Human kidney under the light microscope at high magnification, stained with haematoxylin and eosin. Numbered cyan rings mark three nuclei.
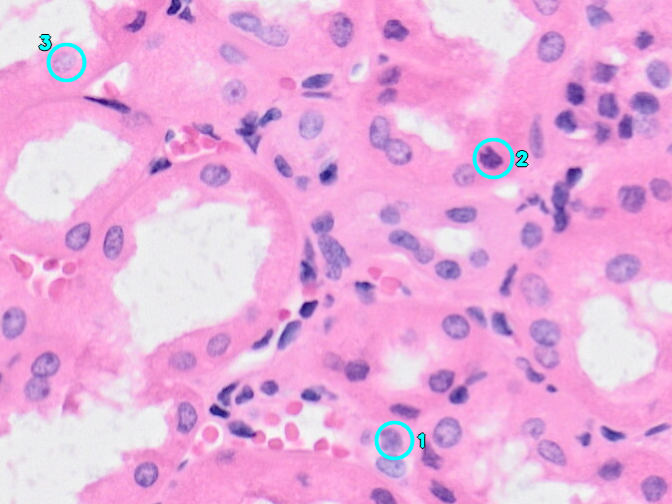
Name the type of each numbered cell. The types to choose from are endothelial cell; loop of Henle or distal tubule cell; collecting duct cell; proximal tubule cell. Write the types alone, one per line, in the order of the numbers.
collecting duct cell
proximal tubule cell
proximal tubule cell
